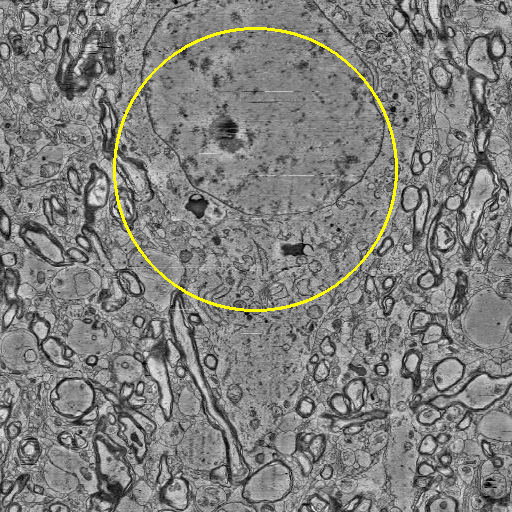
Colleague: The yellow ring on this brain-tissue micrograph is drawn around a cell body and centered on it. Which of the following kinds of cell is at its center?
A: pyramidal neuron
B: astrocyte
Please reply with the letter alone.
A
